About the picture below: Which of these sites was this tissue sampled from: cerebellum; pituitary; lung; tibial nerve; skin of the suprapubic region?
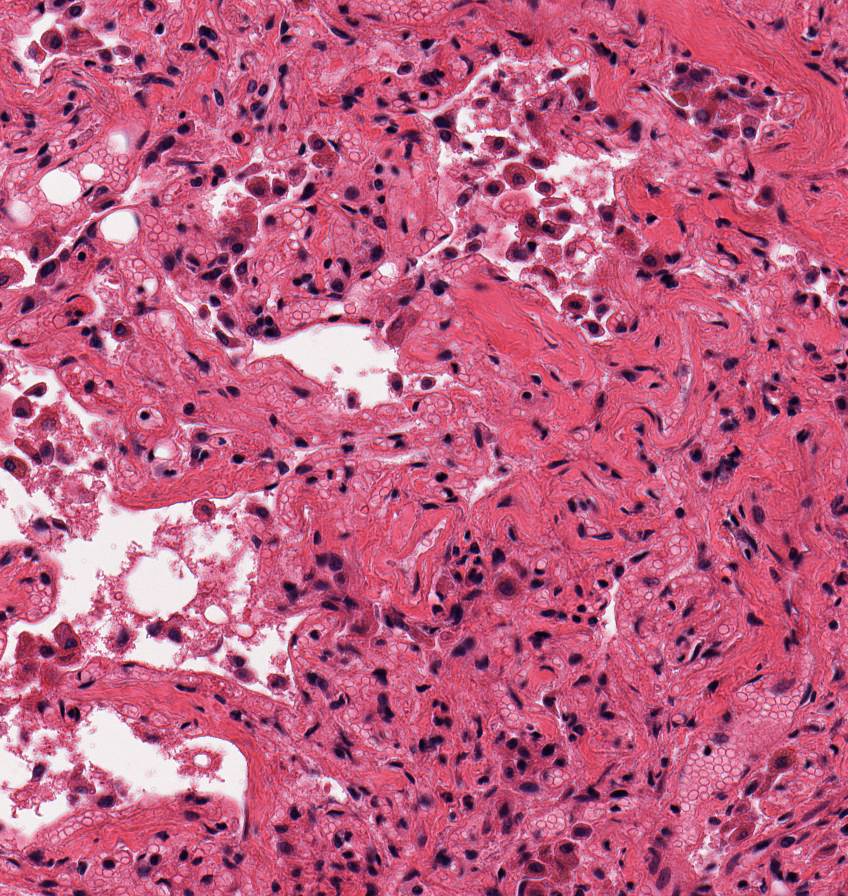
lung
